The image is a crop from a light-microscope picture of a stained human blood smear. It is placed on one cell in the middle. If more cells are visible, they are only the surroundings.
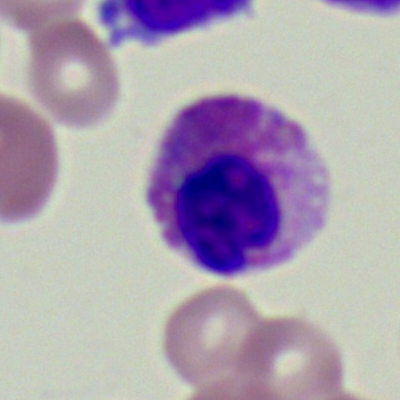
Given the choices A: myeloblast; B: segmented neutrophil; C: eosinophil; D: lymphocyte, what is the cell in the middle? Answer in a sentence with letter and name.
The cell in the centre of the crop is an eosinophil, so option C is the correct one.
